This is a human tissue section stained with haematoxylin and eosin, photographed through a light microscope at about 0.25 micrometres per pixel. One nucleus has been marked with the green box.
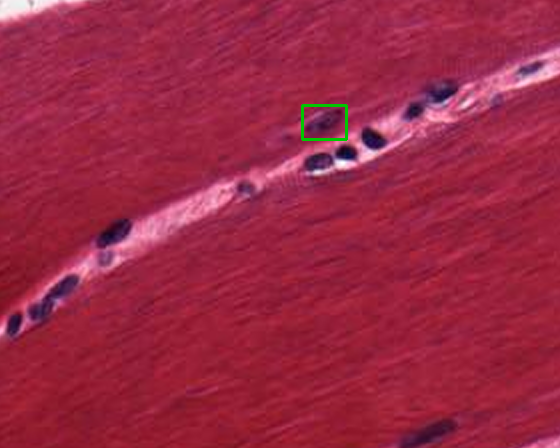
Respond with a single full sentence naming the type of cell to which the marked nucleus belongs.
As shown here, the nucleus that is marked is that of a skeletal muscle fibre.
